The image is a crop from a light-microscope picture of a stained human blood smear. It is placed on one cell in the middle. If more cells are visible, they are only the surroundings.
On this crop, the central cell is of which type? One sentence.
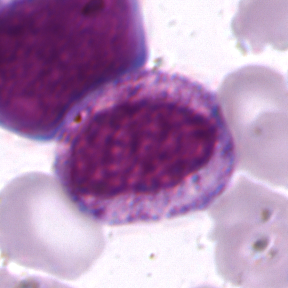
The centrally placed cell is classified as a myelocyte.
